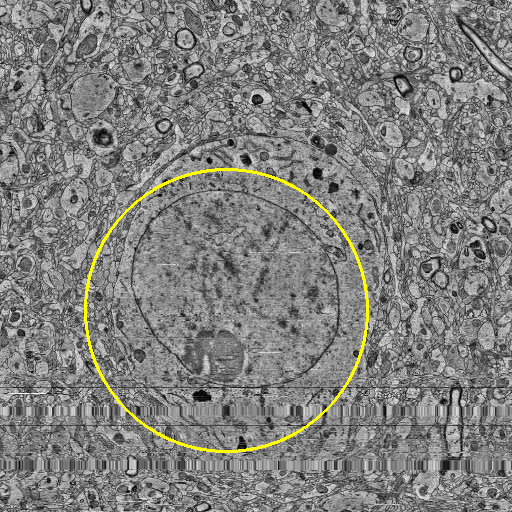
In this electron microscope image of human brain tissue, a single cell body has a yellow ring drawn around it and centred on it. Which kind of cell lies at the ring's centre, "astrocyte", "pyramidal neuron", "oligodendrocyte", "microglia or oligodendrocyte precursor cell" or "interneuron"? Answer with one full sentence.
It is a pyramidal neuron whose cell body lies at the centre of the yellow ring here.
